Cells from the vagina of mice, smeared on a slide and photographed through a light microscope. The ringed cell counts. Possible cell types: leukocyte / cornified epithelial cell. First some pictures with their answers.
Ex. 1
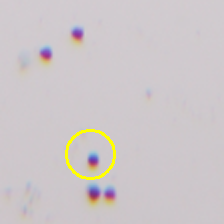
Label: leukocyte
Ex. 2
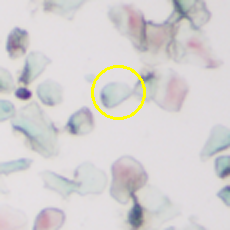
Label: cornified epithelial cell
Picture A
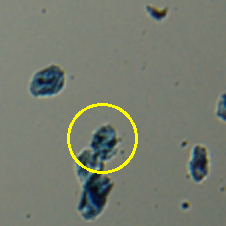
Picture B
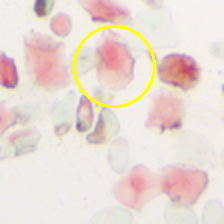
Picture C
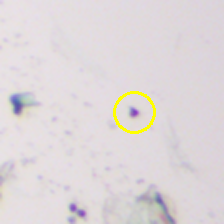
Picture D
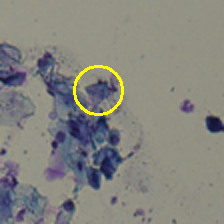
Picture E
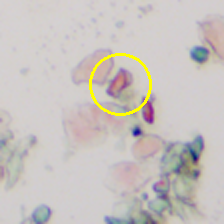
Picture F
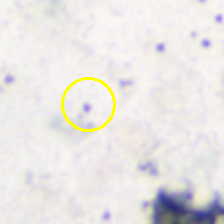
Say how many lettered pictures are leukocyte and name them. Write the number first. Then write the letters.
Count: 2 (C, F)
